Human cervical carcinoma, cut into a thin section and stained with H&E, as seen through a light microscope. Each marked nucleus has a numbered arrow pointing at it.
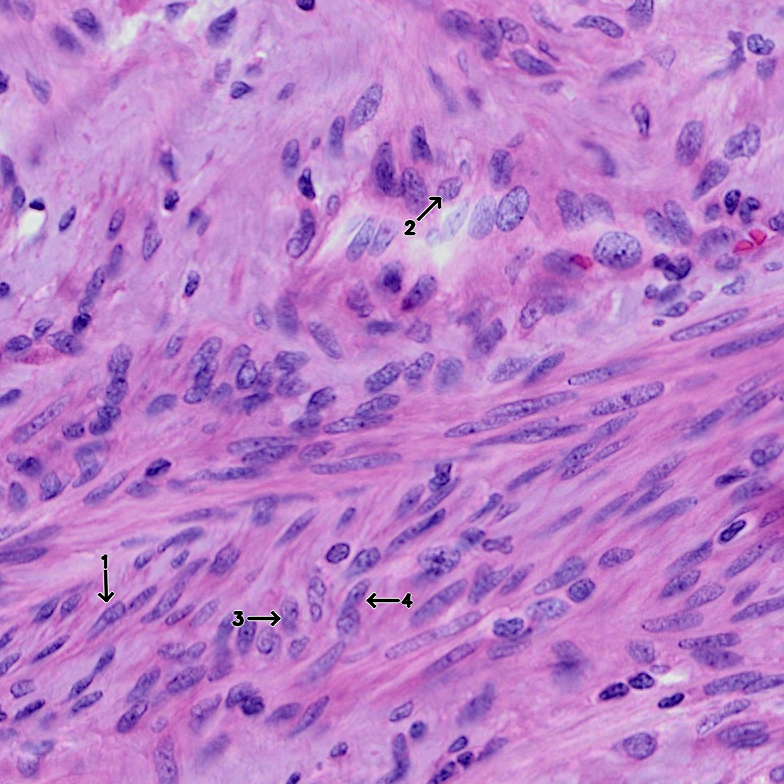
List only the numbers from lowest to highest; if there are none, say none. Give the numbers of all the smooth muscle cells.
1, 3, 4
